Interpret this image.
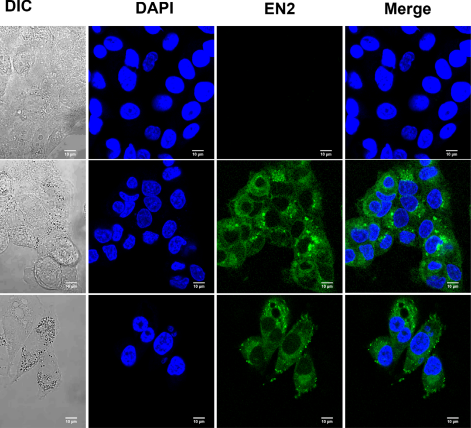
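The cells are rounded to polygonal, lying in small crowded clusters, with large oval nuclei that take up much of each cell. In interference contrast the cytoplasm of the lower two rows holds many dark granules. In the top row the green channel is empty.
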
